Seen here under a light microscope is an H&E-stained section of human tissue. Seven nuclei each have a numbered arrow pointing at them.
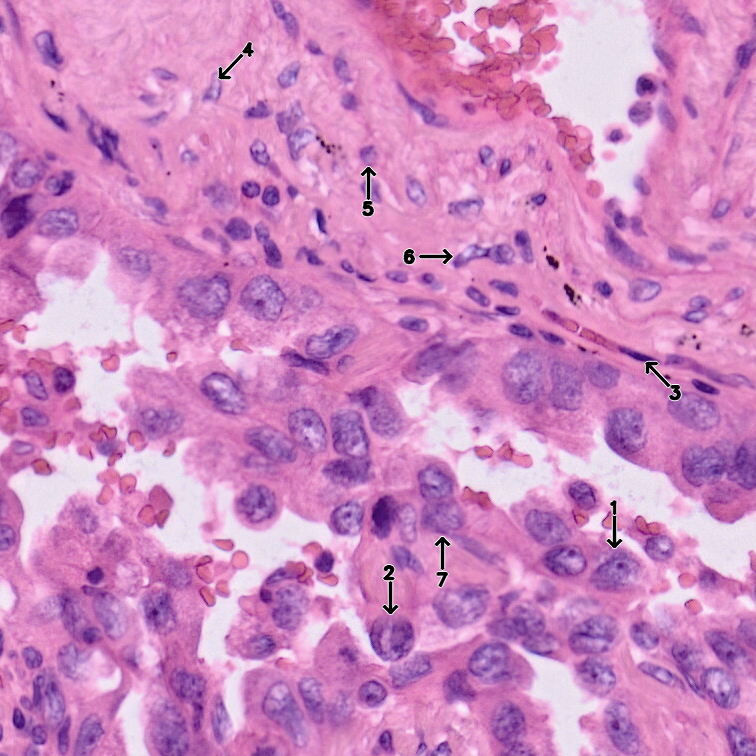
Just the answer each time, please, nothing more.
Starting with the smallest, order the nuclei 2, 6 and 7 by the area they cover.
6, 7, 2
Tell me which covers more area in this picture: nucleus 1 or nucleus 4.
1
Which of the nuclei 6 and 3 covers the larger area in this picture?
6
